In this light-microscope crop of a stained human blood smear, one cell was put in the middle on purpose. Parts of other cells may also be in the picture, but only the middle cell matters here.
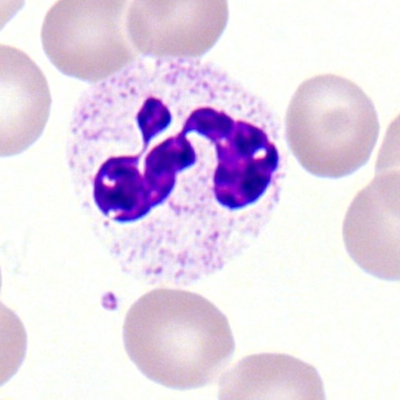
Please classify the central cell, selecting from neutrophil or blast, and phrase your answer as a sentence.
The centered cell in this crop is a neutrophil.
